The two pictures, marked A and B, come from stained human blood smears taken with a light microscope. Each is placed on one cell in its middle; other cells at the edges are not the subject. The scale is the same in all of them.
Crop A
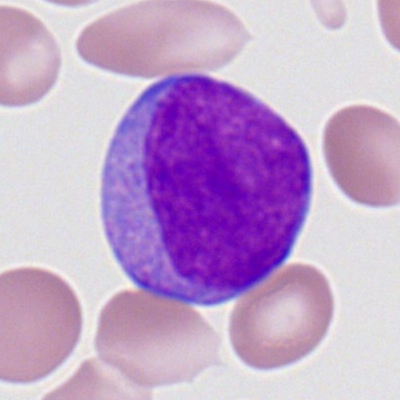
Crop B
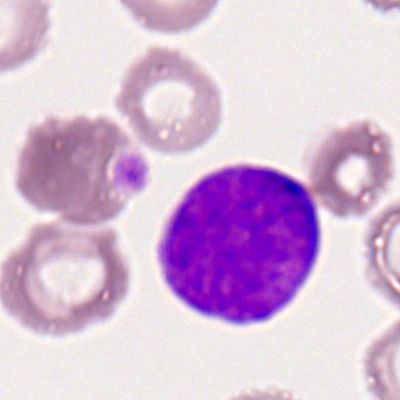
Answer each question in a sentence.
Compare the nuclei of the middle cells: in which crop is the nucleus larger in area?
Crop A shows the larger nucleus; it covers about 1.5 times the area of the nucleus in crop B.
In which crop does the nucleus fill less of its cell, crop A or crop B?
It is the cell in crop A that is filled less by its nucleus.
